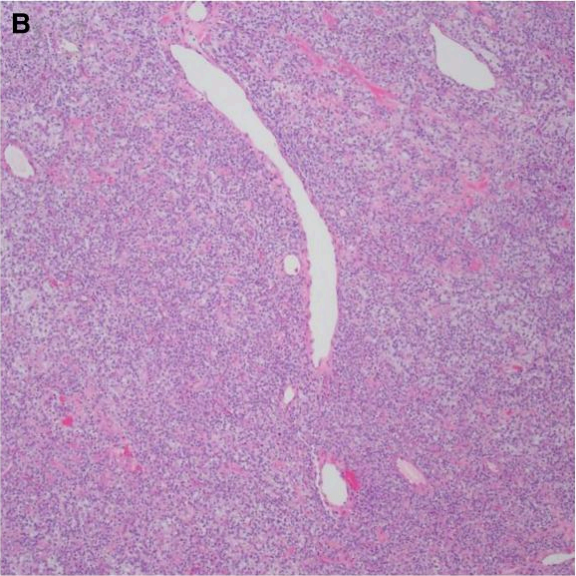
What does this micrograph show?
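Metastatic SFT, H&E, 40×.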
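Cellular tumour of uniform spindle cells with small dark nuclei, lying in no recognisable pattern. Thin-walled, dilated, irregular vessels, one long and slit-like, run through it, and paler loose pink stroma with scattered denser pink collagen lies between the cells.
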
